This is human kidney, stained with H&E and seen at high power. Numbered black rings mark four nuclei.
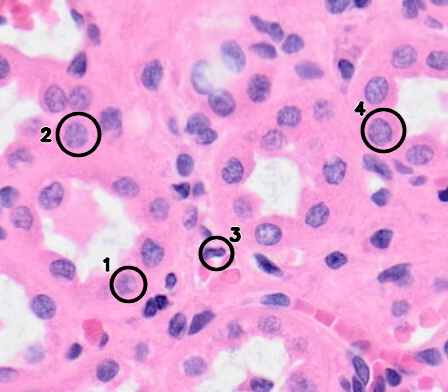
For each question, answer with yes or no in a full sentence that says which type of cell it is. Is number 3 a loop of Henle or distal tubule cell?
No, cell 3 is to be classed as an endothelial cell, not a loop of Henle or distal tubule cell.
